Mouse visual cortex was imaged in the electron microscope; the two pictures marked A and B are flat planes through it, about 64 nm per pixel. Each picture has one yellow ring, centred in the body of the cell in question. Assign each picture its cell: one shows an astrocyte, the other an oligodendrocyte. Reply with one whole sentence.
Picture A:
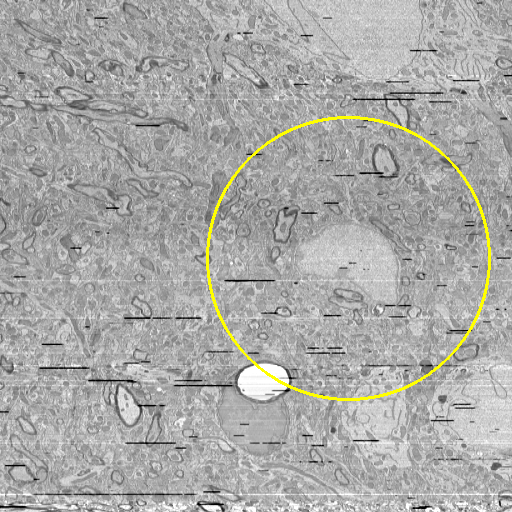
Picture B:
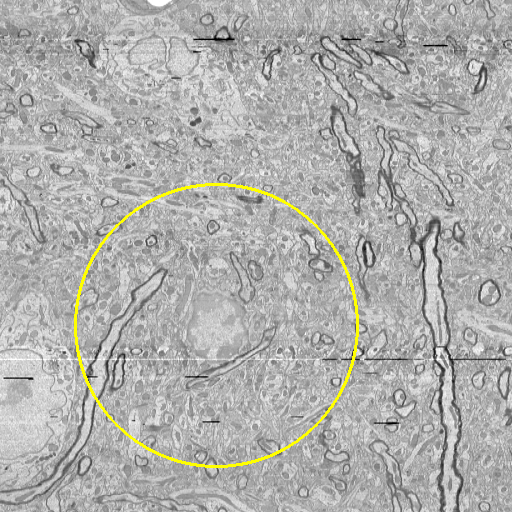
The cell in picture A is an astrocyte, and the one in picture B is an oligodendrocyte.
